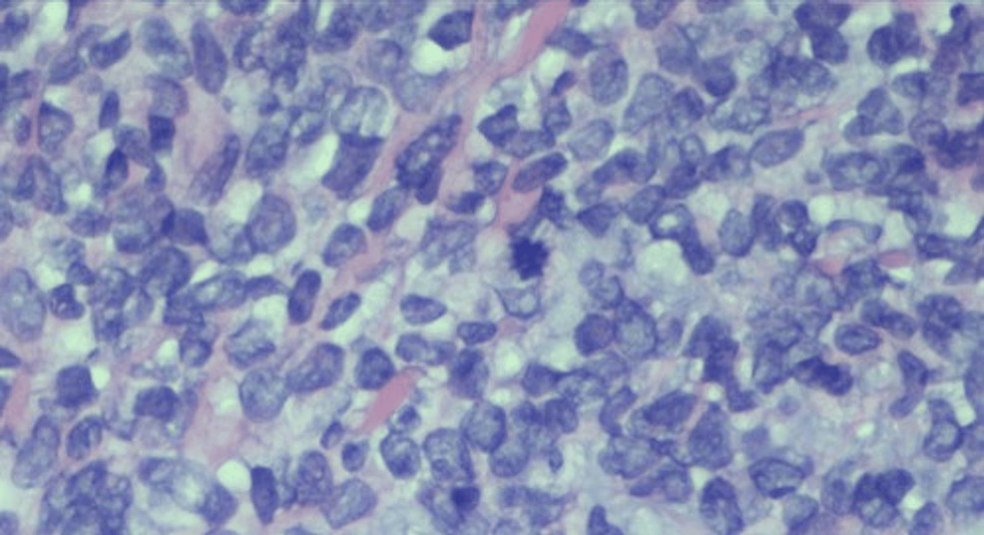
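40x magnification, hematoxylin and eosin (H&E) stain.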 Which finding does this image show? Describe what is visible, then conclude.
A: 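Mitotic figures. Near the centre one cell has a small, very dark, clumped, irregular chromatin mass instead of a rounded nucleus. That dark mass has ragged, spiky edges and no smooth nuclear outline.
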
